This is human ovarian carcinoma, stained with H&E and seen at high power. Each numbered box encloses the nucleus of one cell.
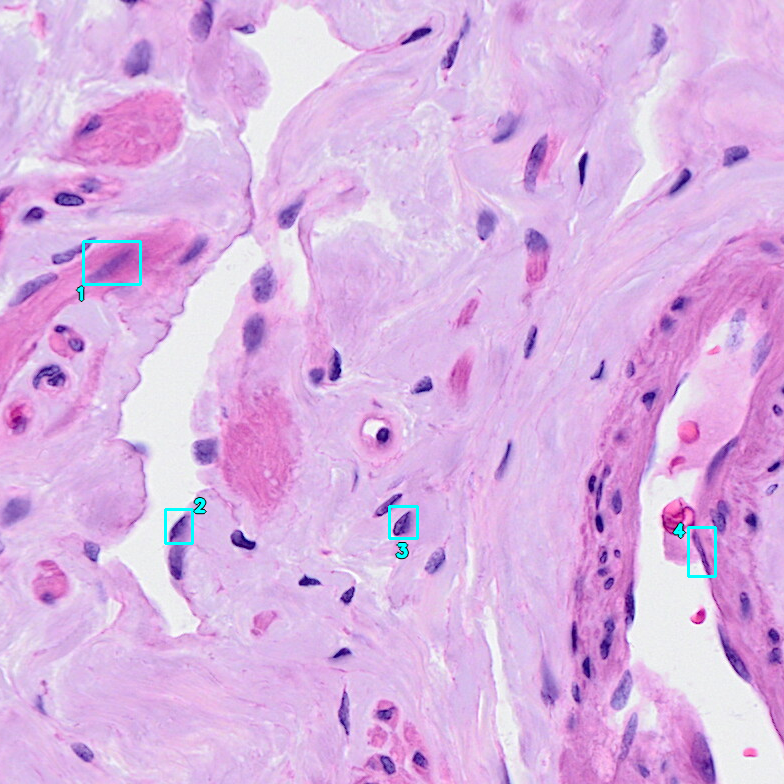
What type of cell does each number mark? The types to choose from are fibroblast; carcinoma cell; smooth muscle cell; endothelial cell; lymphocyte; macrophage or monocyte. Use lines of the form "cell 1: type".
cell 1: smooth muscle cell
cell 2: endothelial cell
cell 3: fibroblast
cell 4: endothelial cell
